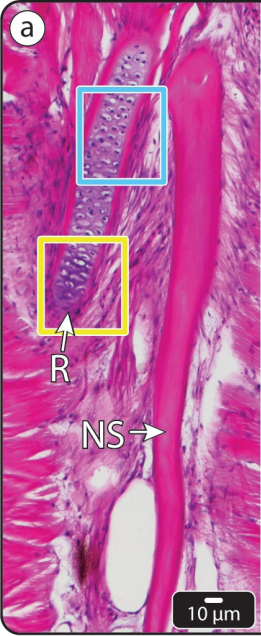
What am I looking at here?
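This section shows a dorsal fin radial lying next to a vertebral neural spine. The radial has a cartilaginous core of rounded chondrocytes, each sitting in its own lacuna within a purple-tinged matrix, stacked in a column; toward its lower end the cells become flatter and more crowded. Beside it runs the neural spine as a long, smooth rod of intensely pink, acellular-looking bone matrix with only thin cells on its surface. Around both structures lies loose connective tissue with scattered dark purple nuclei, and at the left edge pink striated muscle fibres are visible.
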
